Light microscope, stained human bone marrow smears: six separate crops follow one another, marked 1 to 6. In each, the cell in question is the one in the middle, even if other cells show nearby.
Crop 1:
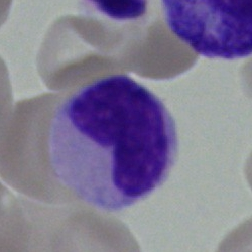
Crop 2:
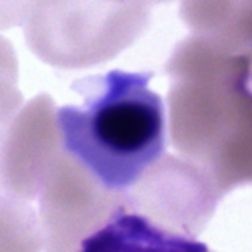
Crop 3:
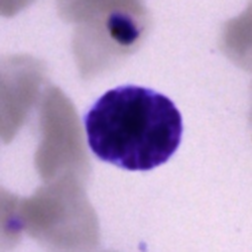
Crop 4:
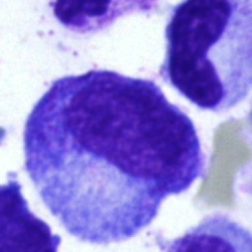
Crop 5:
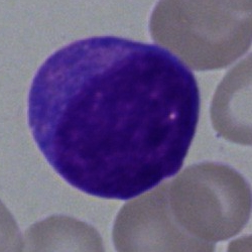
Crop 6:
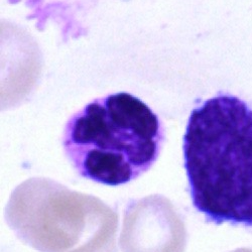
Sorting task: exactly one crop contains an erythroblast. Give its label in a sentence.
The crop bearing an erythroblast is crop 2.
